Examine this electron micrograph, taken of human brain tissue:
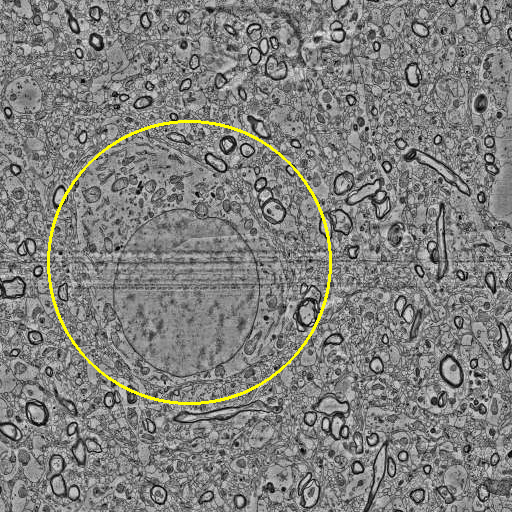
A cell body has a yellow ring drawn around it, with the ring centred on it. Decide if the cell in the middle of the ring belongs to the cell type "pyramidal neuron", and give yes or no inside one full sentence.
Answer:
No, the cell at the centre of the yellow ring in this picture is of a different type.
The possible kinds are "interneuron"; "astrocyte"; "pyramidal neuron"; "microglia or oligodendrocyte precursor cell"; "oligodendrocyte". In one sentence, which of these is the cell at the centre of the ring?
The answer is that the ringed cell is an interneuron.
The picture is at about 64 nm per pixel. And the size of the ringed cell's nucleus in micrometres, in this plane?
In this plane the nucleus measures roughly 10 micrometres across.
